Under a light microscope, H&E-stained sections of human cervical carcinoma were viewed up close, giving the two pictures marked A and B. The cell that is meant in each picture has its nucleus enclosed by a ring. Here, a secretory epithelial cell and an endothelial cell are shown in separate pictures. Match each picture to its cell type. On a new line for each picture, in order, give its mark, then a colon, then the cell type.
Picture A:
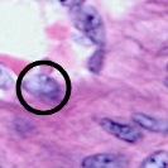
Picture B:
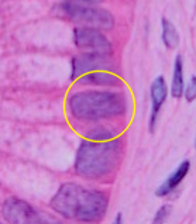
A: endothelial cell
B: secretory epithelial cell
